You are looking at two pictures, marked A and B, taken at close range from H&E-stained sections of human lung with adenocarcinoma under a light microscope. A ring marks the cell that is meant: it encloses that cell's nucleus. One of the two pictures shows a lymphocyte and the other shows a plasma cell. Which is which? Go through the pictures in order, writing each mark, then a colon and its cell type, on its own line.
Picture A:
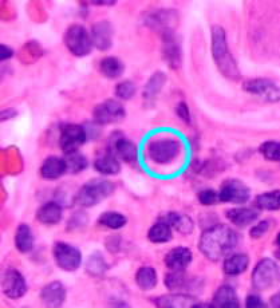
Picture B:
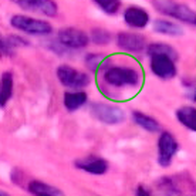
A: lymphocyte
B: plasma cell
